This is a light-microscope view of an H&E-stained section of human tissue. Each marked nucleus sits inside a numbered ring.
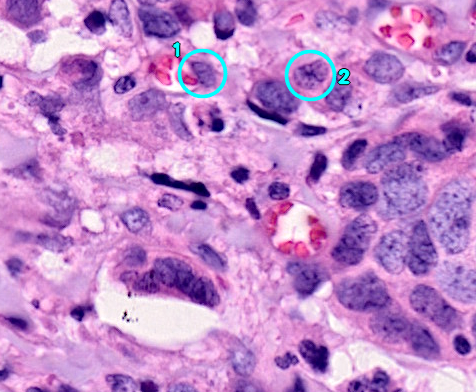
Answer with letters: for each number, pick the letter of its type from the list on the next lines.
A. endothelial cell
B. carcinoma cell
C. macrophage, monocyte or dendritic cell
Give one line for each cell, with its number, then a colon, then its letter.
1: A
2: B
